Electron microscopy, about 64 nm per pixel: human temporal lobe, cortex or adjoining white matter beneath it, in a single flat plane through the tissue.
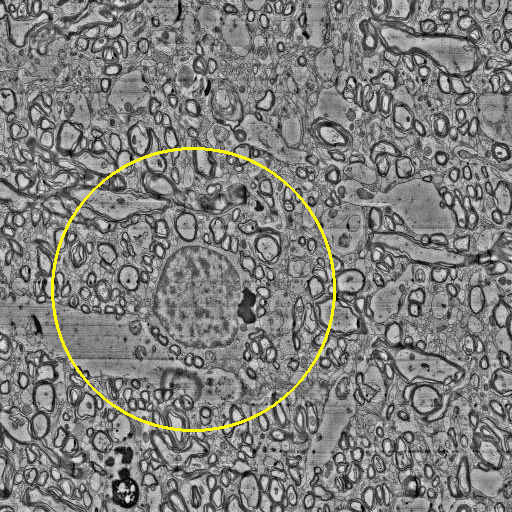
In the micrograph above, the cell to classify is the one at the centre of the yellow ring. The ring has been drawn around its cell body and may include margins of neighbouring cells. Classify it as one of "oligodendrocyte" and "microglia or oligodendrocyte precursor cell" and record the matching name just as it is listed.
oligodendrocyte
